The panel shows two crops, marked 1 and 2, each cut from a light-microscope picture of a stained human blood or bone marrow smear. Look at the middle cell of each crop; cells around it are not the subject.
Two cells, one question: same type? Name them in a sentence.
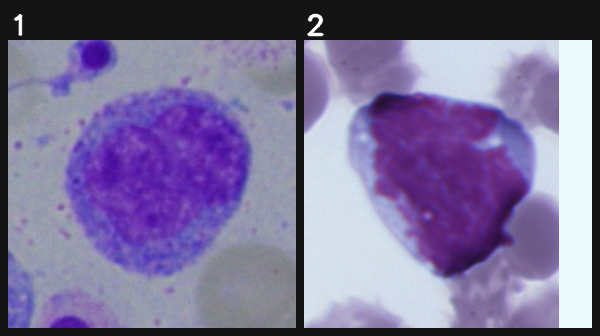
No, a blast is the cell of crop 2, while a monocyte is the cell of crop 1.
